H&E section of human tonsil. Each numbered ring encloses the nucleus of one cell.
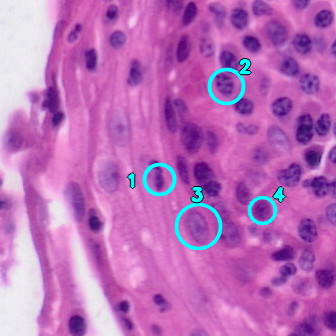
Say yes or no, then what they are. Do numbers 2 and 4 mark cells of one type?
No, cell 2 is a plasma cell and cell 4 is a squamous epithelial cell.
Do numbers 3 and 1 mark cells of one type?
Yes, both are squamous epithelial cells.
